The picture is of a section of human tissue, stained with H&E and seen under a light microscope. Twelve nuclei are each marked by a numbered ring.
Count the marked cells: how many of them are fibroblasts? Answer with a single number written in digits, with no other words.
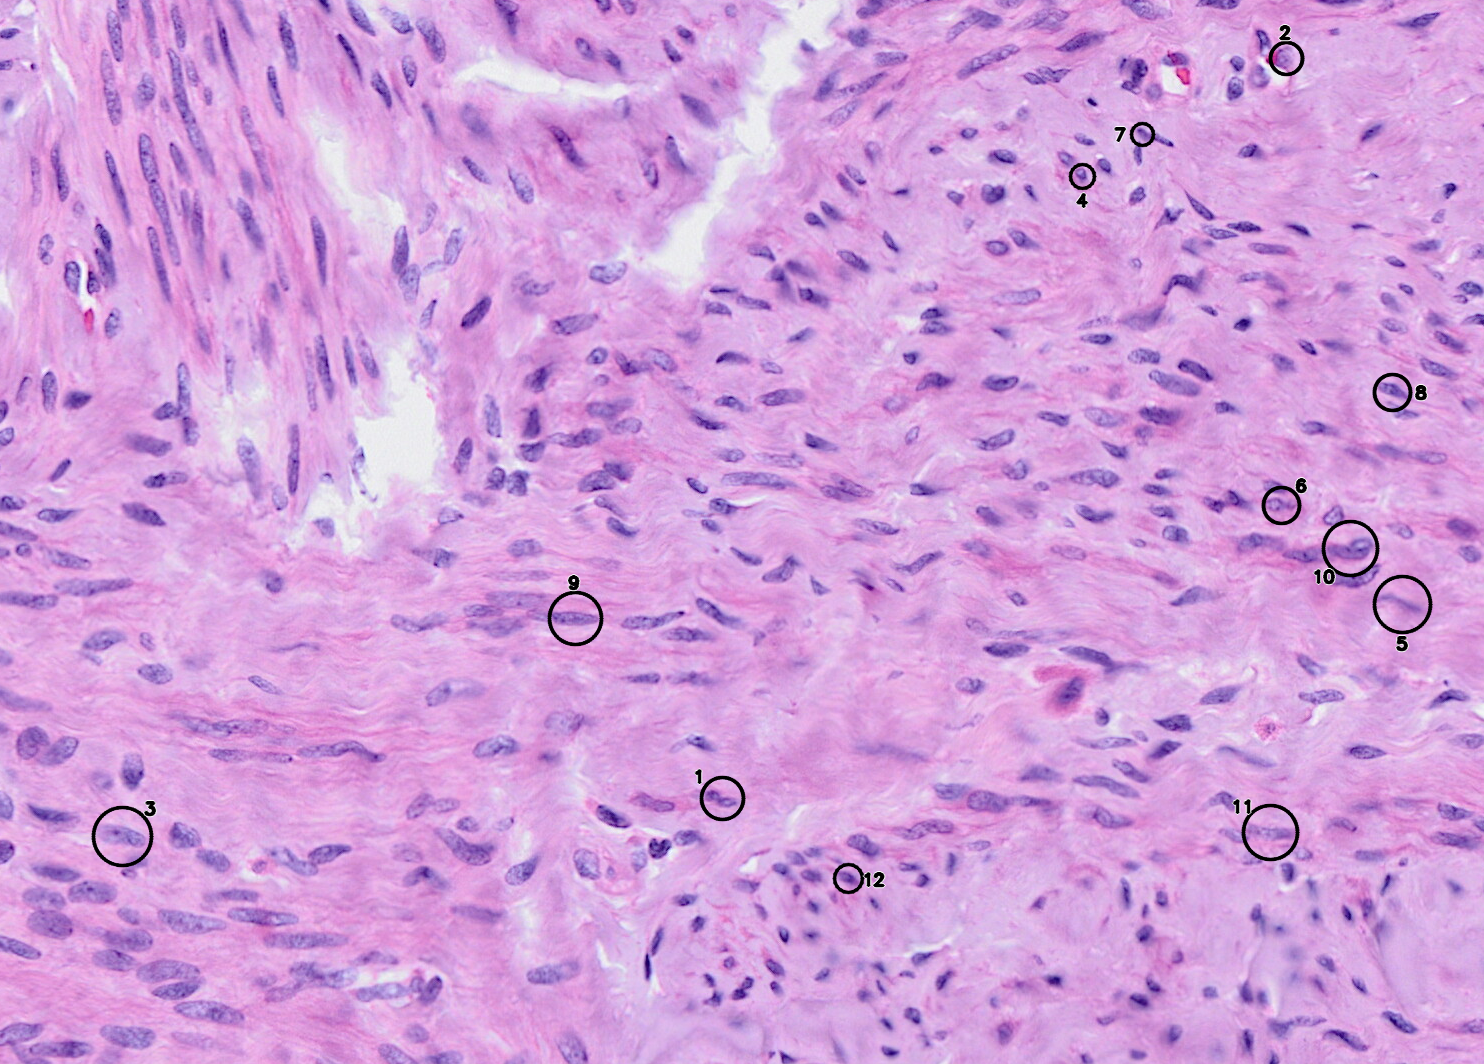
4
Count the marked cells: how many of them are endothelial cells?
1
